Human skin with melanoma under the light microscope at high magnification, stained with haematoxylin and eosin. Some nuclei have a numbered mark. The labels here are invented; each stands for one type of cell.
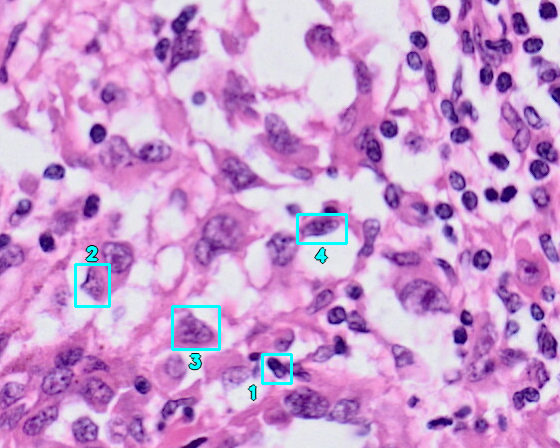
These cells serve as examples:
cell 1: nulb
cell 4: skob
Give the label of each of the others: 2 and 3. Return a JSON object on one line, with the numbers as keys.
{"2": "skob", "3": "skob"}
